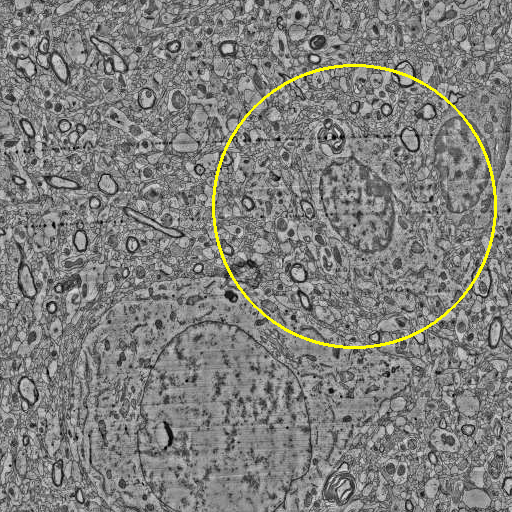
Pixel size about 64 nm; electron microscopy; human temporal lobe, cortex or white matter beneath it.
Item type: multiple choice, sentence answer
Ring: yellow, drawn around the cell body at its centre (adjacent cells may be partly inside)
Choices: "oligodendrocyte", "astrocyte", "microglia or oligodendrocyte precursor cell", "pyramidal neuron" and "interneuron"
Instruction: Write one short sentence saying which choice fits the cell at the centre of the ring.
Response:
This ring is drawn around an interneuron.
